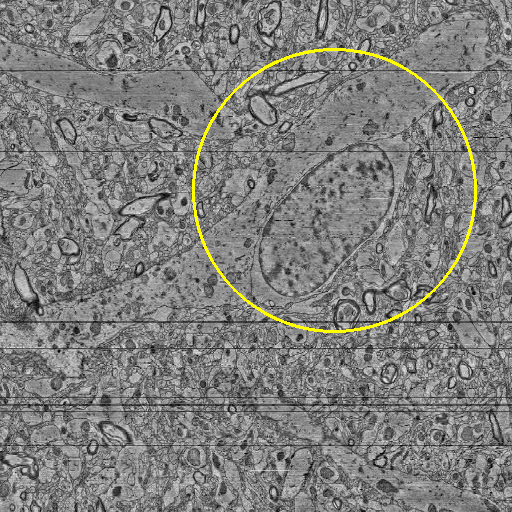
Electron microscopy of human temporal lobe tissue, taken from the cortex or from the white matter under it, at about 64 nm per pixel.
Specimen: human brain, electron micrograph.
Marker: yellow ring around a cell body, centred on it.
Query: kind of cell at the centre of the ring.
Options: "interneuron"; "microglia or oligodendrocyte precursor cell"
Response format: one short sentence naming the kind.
This cell body belongs to a microglial cell or oligodendrocyte precursor cell.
